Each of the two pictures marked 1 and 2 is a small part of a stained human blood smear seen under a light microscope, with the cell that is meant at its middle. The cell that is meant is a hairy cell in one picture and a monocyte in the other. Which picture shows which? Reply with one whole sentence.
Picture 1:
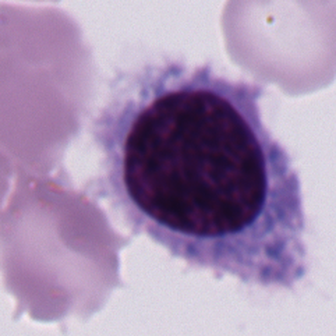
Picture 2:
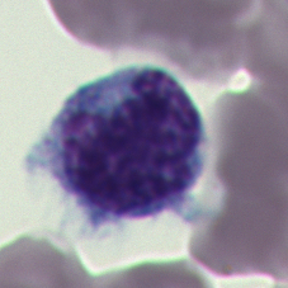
In picture 1 the cell is a hairy cell; in picture 2, a monocyte.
